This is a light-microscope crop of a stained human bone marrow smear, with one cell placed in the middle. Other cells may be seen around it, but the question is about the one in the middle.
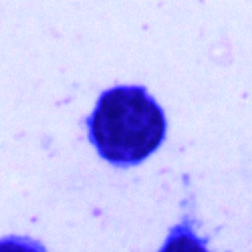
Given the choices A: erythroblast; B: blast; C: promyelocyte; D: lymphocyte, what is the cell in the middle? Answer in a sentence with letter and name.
Option D gets it right: the cell in the middle is a lymphocyte.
